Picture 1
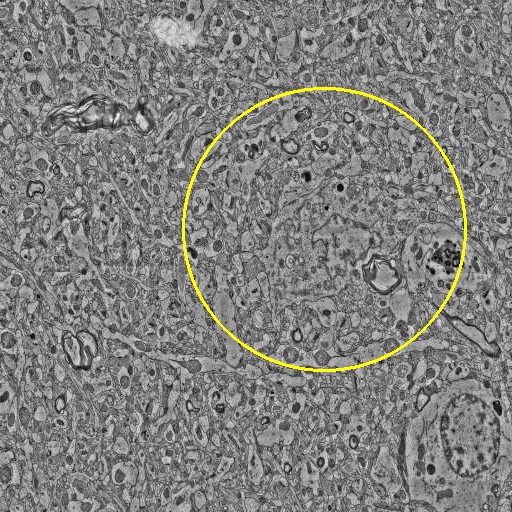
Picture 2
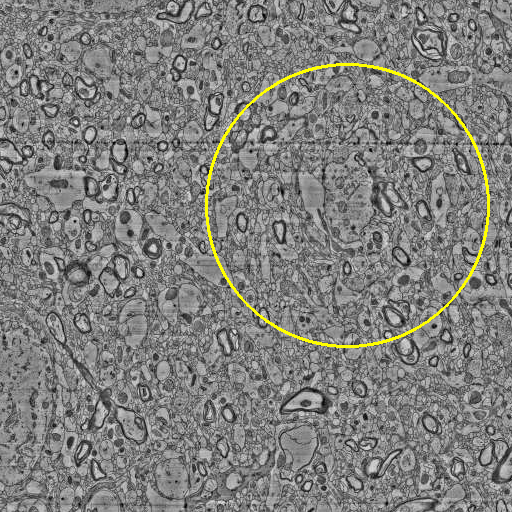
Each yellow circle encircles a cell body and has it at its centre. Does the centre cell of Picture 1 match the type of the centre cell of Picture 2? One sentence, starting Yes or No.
Yes, the cell centred in Picture 1 and the one in Picture 2 share a type.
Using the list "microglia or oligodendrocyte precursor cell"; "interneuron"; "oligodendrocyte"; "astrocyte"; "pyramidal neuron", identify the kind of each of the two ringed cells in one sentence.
Each cell at the centre of a ring is an interneuron.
